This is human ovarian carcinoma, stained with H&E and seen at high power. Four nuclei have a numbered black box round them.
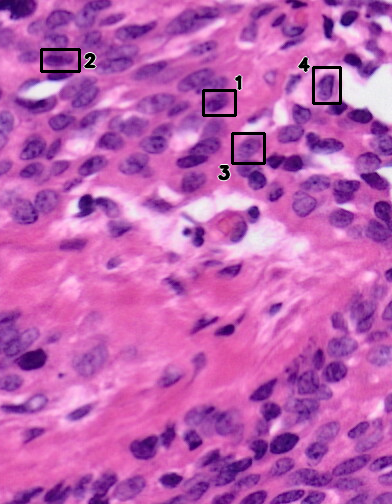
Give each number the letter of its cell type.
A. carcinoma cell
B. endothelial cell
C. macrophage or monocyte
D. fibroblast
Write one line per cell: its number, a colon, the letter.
1: A
2: A
3: A
4: C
